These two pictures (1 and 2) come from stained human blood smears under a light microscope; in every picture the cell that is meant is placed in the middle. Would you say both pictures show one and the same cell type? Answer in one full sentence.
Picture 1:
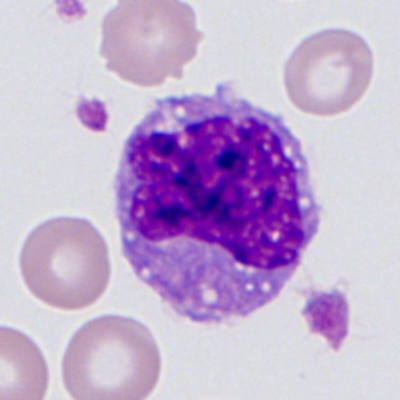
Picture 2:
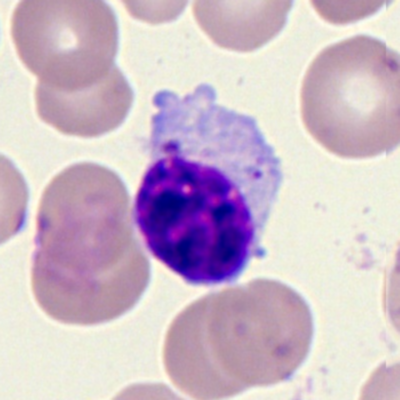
No, the types are not the same, since picture 1 shows a monocyte and picture 2 a lymphocyte.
